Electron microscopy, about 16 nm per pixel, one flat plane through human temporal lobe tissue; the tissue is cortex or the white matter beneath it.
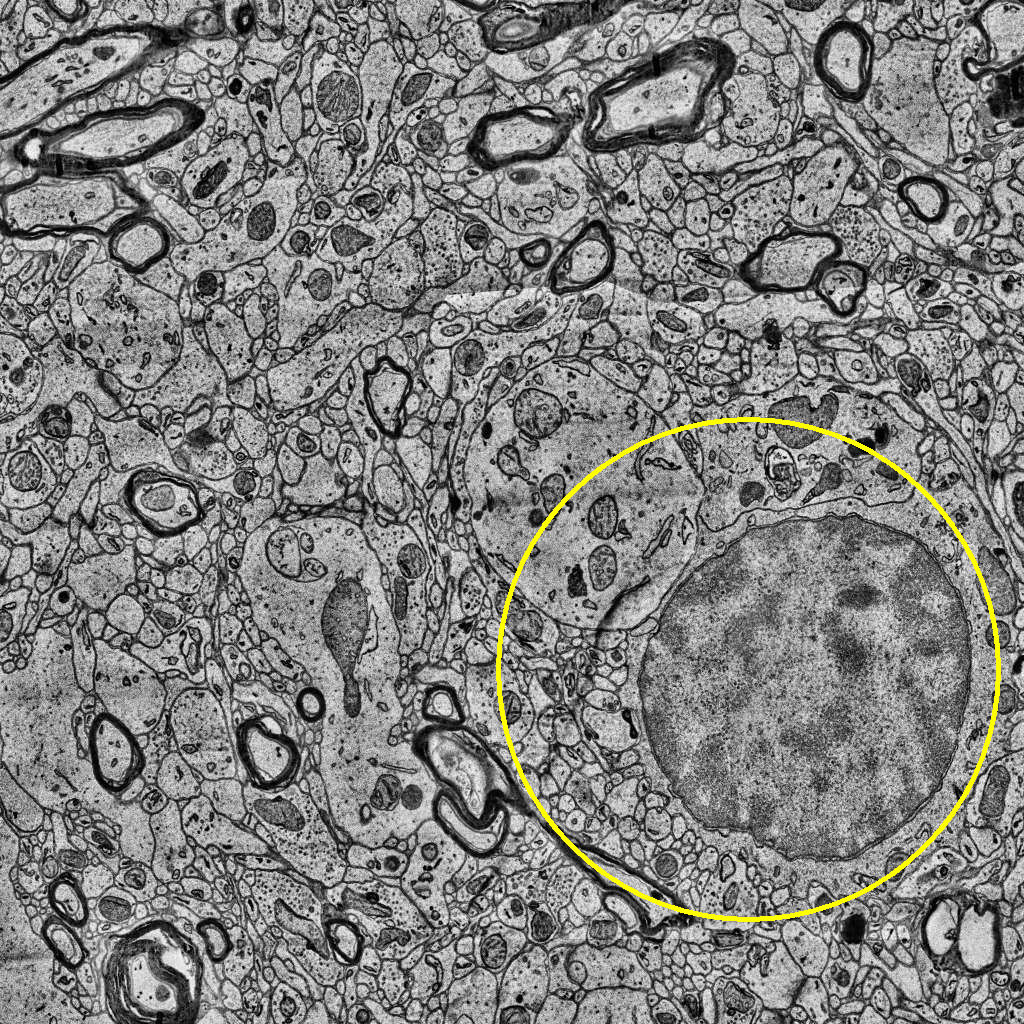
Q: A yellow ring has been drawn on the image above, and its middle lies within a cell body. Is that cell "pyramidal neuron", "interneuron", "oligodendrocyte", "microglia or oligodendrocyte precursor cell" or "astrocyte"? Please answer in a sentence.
The ring's middle lies in the cell body of an oligodendrocyte.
